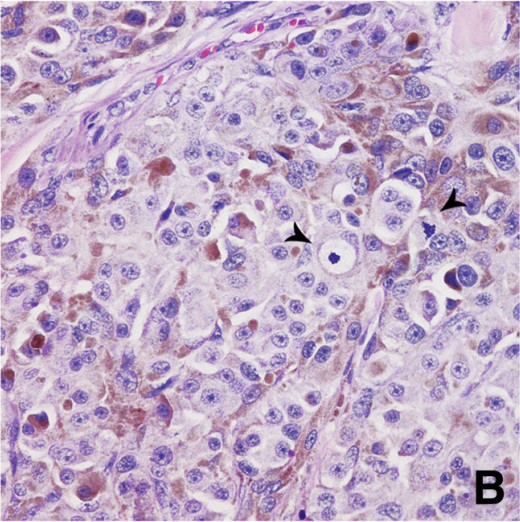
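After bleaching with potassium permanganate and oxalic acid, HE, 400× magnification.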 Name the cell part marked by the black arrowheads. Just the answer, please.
mitotic figures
